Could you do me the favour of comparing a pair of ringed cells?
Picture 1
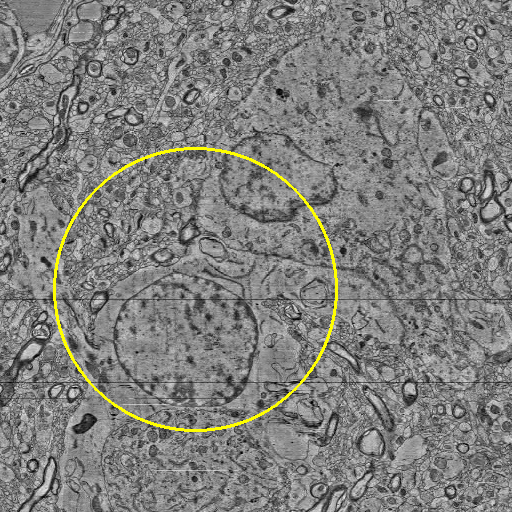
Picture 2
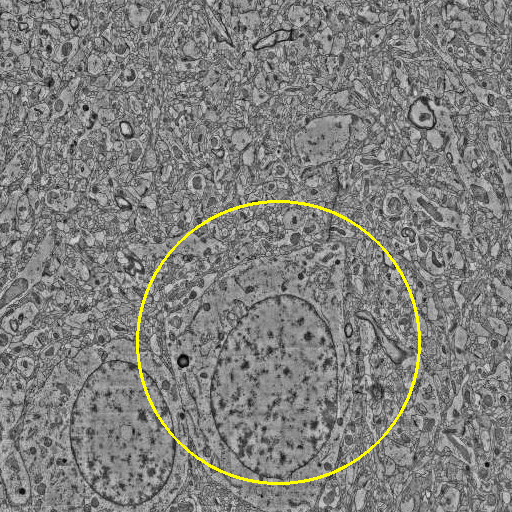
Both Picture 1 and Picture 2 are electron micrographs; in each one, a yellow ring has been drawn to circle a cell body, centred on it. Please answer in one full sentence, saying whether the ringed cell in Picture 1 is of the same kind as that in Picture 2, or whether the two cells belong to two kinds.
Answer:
The ringed cells in Picture 1 and Picture 2 belong to two kinds.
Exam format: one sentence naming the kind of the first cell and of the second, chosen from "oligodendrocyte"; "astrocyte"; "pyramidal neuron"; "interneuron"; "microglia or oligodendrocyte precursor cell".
The first picture's cell is an astrocyte, and the second picture's cell is a pyramidal neuron.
